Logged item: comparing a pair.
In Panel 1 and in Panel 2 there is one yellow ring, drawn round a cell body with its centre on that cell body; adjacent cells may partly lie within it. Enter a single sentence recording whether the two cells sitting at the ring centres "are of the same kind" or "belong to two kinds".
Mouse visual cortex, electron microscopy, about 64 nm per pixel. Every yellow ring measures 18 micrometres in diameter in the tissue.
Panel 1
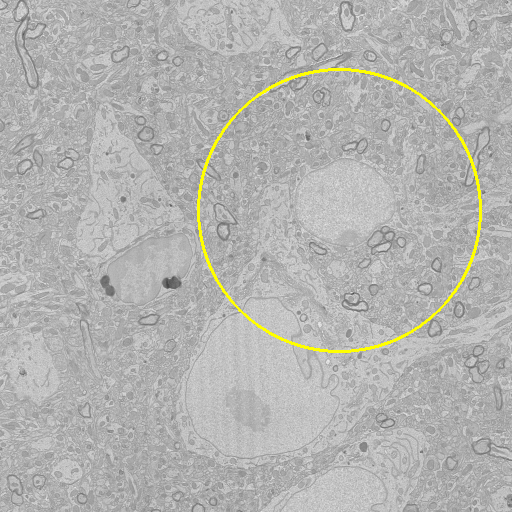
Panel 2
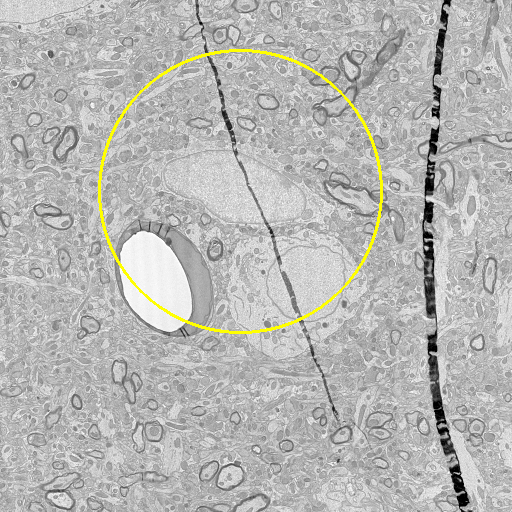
Logged: the cells centred in the rings of Panel 1 and Panel 2 are of the same kind.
